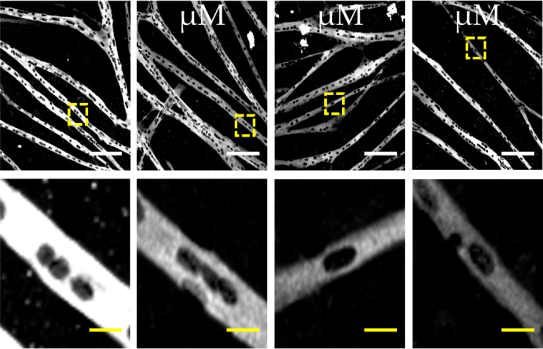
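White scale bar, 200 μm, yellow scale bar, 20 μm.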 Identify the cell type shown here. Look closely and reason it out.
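Myotubes. Many oval nuclei lie in rows along the length of each tube. Enlarged views show several nuclei inside one continuous tube.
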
